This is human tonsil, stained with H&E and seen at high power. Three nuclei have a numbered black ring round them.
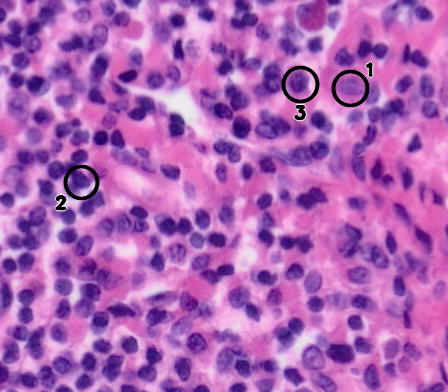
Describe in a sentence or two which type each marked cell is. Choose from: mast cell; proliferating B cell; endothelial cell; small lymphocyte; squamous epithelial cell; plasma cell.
Cell 1 is an endothelial cell, cell 2 is a small lymphocyte and cell 3 is a plasma cell.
